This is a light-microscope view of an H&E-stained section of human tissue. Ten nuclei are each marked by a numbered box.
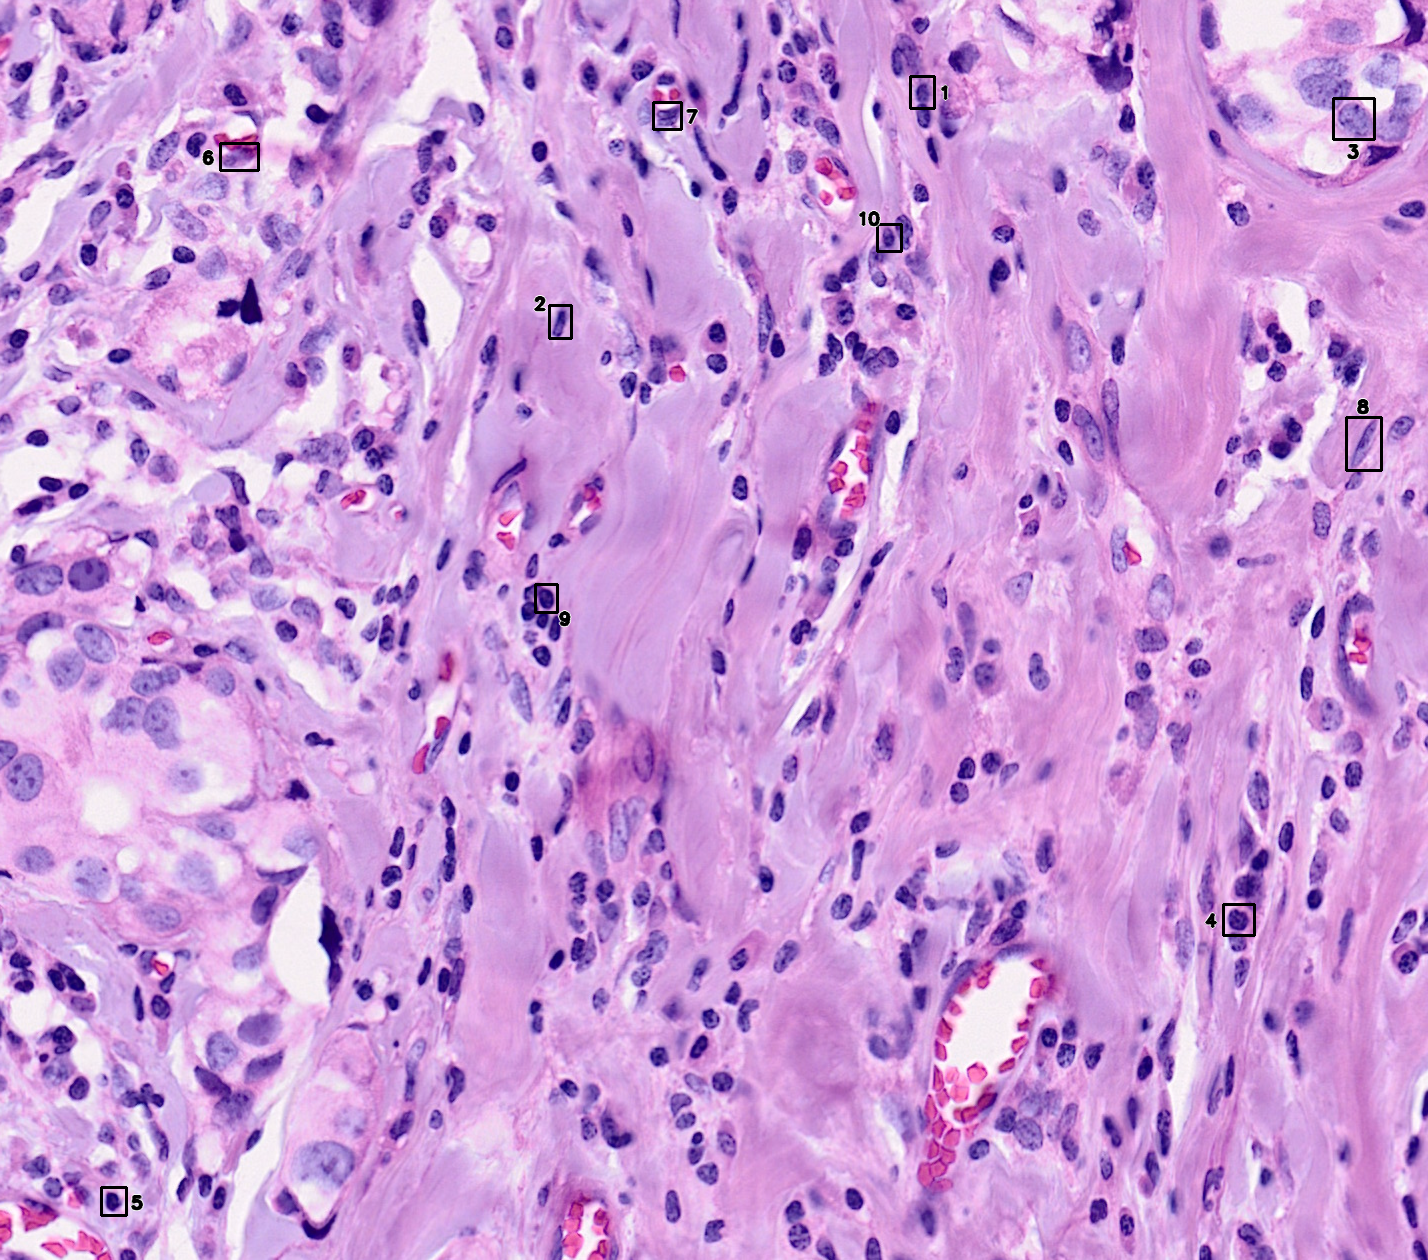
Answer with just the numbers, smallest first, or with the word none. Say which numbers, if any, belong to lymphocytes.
1, 2, 4, 5, 9, 10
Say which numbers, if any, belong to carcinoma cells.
3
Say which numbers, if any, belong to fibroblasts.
8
